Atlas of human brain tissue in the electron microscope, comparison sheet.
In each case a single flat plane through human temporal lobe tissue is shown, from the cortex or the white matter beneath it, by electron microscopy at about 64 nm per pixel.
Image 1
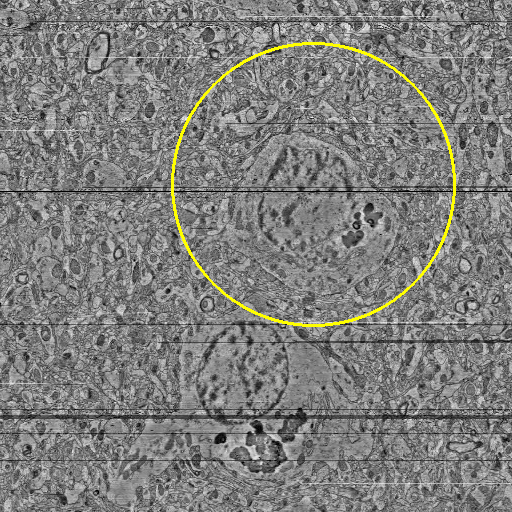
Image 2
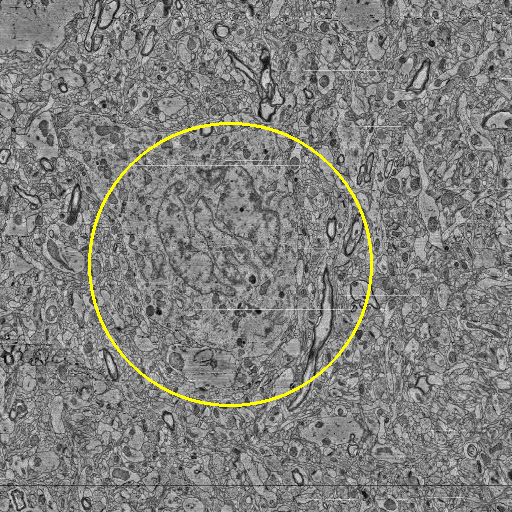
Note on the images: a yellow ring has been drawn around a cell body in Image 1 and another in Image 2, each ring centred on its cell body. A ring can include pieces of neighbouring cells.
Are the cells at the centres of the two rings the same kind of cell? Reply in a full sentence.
Yes, both cells are of the same kind.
